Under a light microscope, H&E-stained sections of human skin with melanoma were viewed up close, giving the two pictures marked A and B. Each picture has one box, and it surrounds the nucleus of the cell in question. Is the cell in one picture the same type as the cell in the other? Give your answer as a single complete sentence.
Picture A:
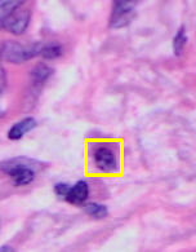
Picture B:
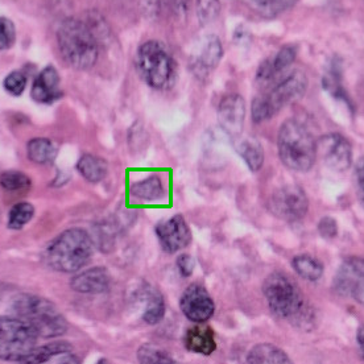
No, picture A shows a plasma cell and picture B shows a “macrophage or monocyte”.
